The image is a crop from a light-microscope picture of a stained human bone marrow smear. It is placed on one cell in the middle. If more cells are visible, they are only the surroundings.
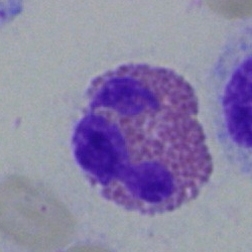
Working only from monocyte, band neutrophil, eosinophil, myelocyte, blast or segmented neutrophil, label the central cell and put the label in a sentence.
Regarding the central cell, it is an eosinophil.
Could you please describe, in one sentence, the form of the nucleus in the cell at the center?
The key feature is a nucleus with multiple lobes.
